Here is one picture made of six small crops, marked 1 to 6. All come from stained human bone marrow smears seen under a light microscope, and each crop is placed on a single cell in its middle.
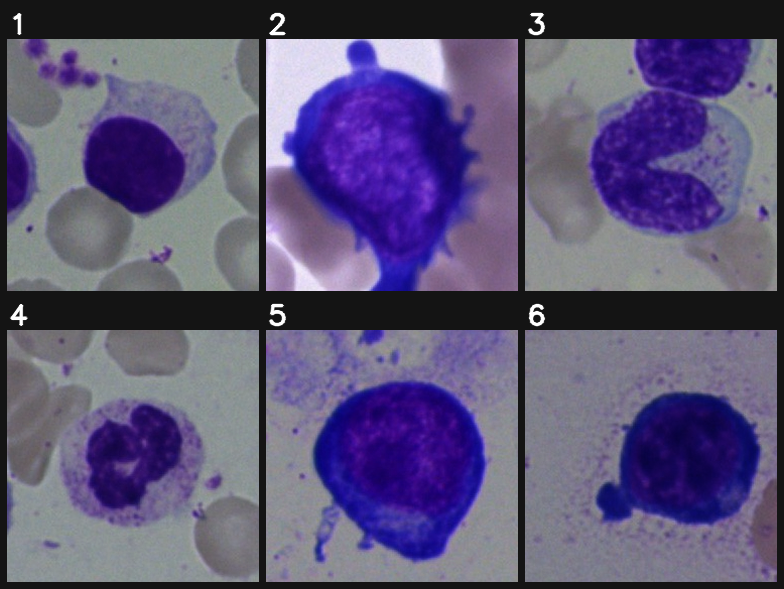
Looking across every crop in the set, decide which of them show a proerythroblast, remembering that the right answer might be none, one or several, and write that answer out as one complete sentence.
Classification of crops 2, 5 and 6: the central cells are proerythroblasts.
